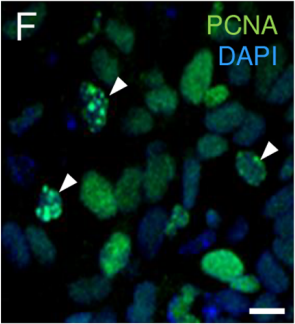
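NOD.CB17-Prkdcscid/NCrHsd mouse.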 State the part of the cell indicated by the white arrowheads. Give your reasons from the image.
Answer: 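Foci. The marked nuclei hold several bright green dots. Other nuclei are evenly green without dots.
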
